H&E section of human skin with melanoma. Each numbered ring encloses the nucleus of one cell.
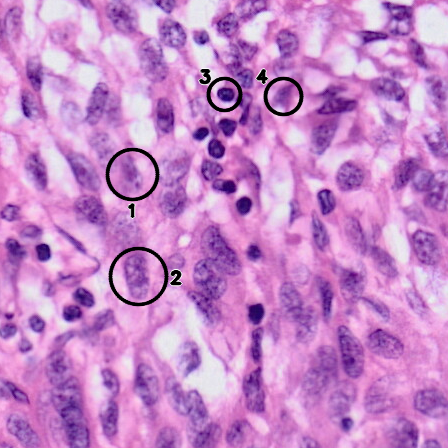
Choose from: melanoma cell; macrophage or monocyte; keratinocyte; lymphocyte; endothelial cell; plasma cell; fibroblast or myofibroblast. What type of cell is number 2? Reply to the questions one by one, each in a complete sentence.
In the marked set, the cell given number 2 is a melanoma cell.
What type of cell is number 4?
The correct answer for cell 4 is a melanoma cell.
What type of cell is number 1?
The cell bearing label 1 corresponds to a melanoma cell.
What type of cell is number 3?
The marked cell bearing number 3 is a lymphocyte.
